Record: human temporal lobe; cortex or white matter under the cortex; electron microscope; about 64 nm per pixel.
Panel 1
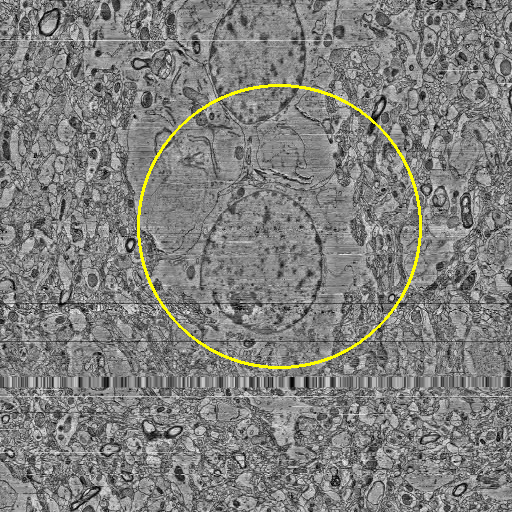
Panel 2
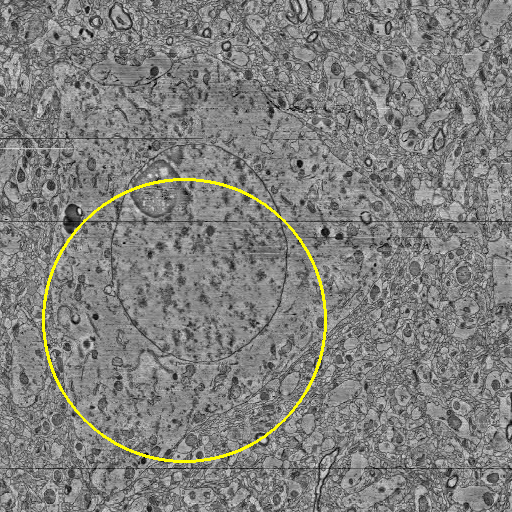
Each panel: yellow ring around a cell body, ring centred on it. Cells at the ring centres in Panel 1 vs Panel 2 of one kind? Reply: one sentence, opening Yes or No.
No, Panel 1 and Panel 2 have cells of two kinds at the ring centres.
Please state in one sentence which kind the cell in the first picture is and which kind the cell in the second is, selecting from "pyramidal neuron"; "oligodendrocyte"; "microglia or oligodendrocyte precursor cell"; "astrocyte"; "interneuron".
The first ringed cell is an astrocyte, the second ringed cell a pyramidal neuron.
